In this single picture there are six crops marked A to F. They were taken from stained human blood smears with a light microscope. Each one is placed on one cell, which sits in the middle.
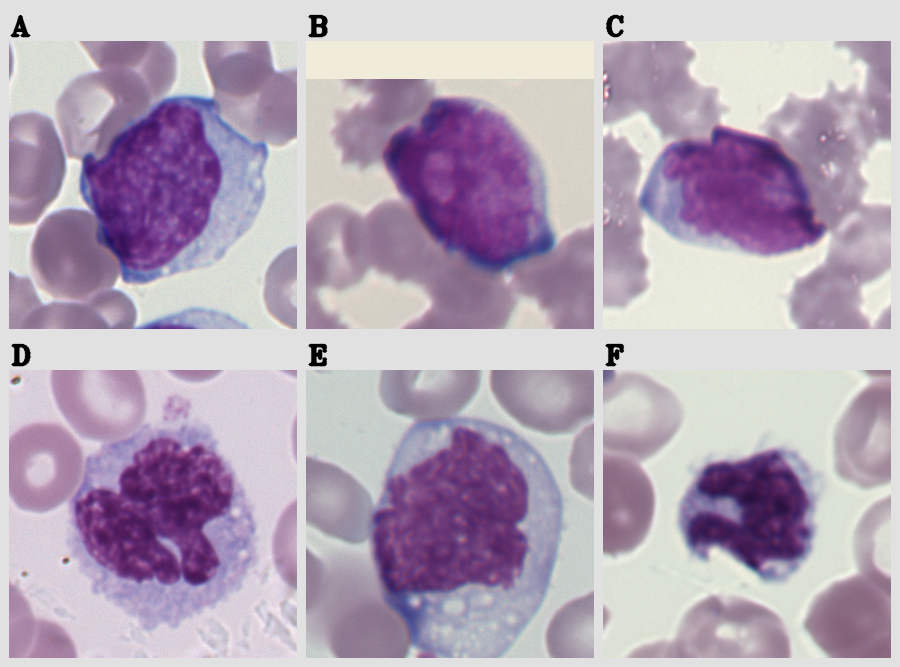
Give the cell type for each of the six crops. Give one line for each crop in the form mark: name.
A: blast
B: blast
C: blast
D: monocyte
E: monocyte
F: monocyte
